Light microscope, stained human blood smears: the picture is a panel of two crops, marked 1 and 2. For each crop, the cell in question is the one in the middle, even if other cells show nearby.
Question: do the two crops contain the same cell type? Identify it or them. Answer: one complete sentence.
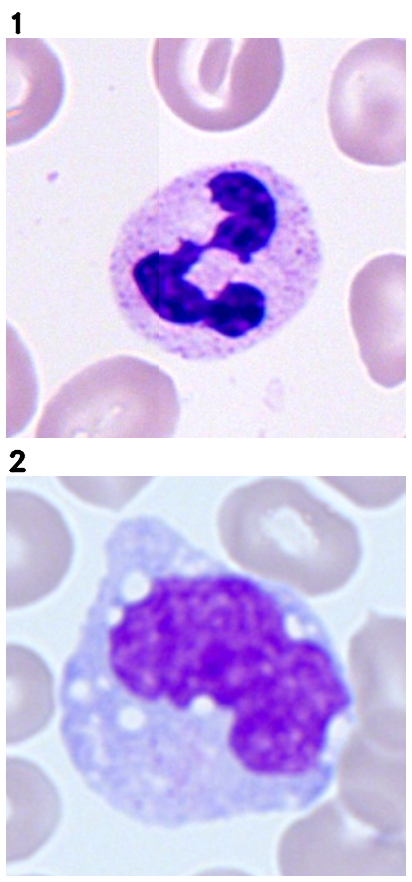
No, what crop 1 shows is a segmented neutrophil, and what crop 2 shows is a monocyte.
